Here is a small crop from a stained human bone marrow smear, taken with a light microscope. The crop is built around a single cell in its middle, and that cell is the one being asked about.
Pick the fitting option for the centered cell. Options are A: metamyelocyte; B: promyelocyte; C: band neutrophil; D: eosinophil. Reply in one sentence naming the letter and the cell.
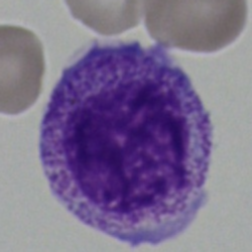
The central cell is a promyelocyte, which makes option B the right answer.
